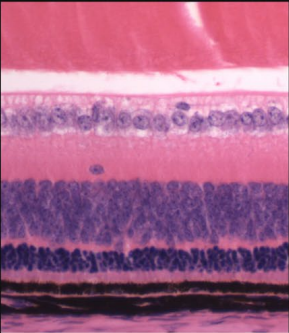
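The band of photoreceptor nuclei just above the pigmented layer has shrunk to only a few rows of dark nuclei, now thinner than the nuclear layer above it. The inner nuclear layer, the pink fibre-rich layers and the row of larger nuclei at the top look preserved.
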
